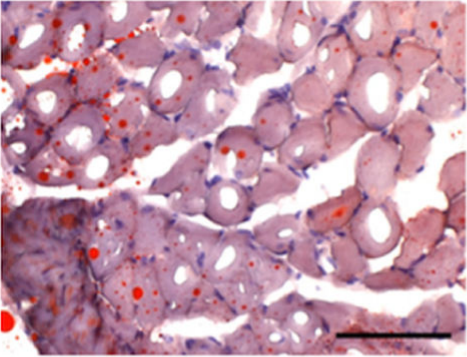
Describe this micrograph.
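This is a cross-section of skeletal muscle with myofibers cut transversely, their cytoplasm stained pale purple. The fibers are rounded to polygonal, and many have a clear white space in their centre. Small blue nuclei lie at the edges of the fibers and in the narrow spaces between them.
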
